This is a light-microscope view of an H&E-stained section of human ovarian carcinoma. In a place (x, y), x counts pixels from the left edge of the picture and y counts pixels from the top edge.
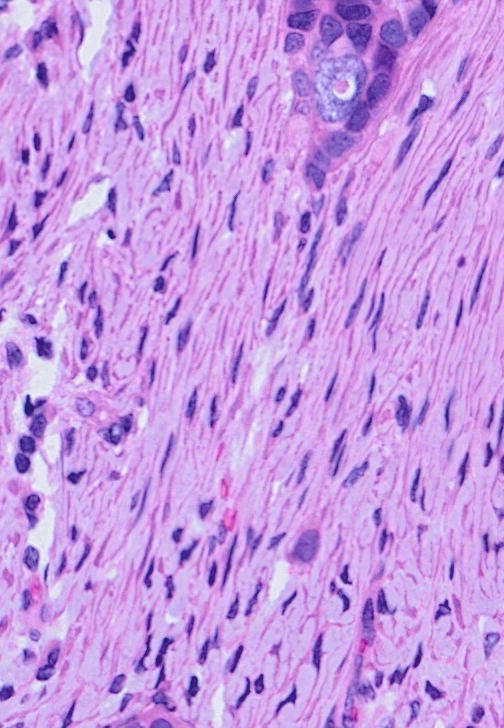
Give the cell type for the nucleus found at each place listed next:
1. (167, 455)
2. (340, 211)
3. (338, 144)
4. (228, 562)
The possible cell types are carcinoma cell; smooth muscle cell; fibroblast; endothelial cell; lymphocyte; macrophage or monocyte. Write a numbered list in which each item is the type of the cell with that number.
1. fibroblast
2. fibroblast
3. carcinoma cell
4. fibroblast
